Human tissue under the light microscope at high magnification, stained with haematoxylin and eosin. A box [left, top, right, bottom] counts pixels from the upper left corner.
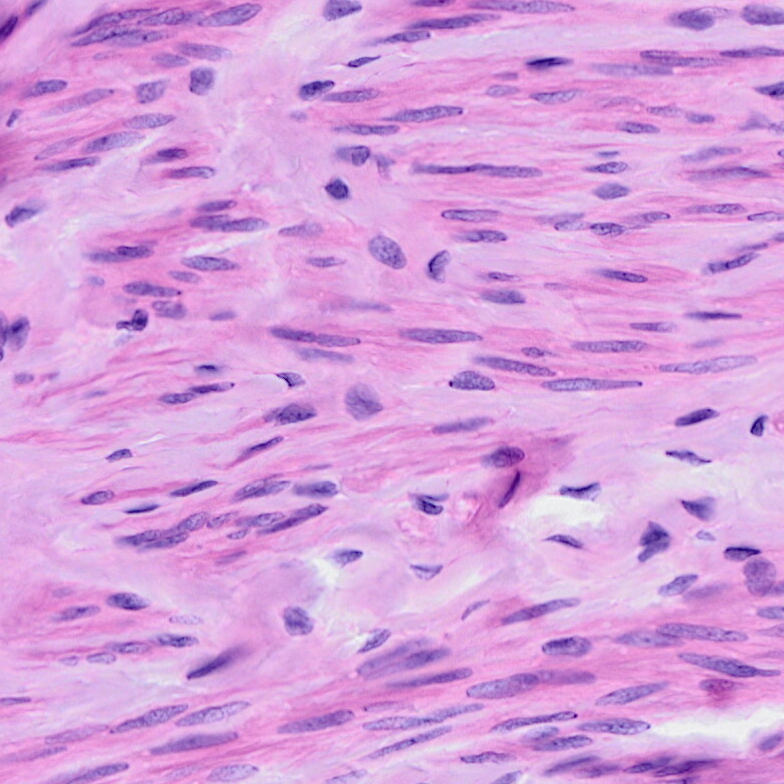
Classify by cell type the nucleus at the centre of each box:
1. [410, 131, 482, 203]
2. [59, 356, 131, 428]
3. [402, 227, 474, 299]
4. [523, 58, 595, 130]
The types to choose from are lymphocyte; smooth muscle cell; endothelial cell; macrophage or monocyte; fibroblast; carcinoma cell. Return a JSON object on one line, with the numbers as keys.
{"1": "smooth muscle cell", "2": "smooth muscle cell", "3": "fibroblast", "4": "smooth muscle cell"}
